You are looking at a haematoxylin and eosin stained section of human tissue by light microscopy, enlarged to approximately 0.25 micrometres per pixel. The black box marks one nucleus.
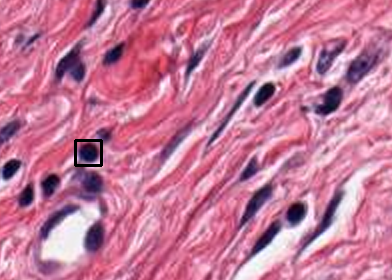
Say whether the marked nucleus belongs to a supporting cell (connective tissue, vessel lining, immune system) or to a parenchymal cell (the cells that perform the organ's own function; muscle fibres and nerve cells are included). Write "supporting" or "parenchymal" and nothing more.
supporting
